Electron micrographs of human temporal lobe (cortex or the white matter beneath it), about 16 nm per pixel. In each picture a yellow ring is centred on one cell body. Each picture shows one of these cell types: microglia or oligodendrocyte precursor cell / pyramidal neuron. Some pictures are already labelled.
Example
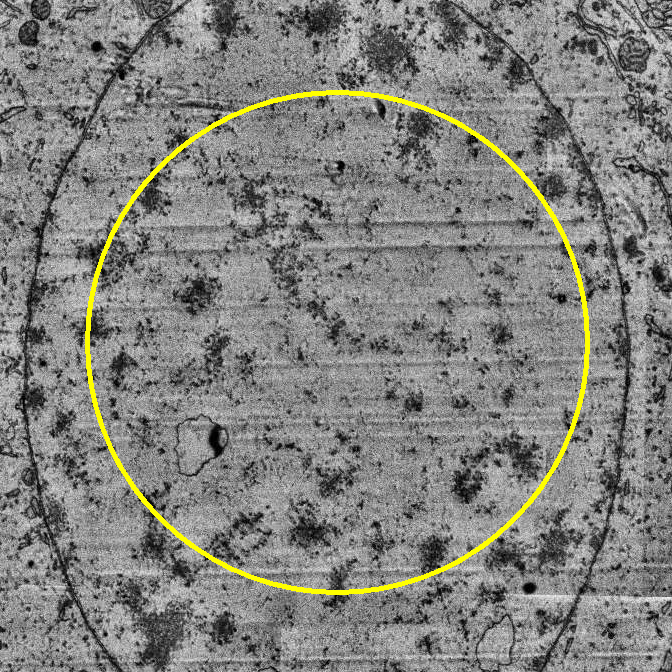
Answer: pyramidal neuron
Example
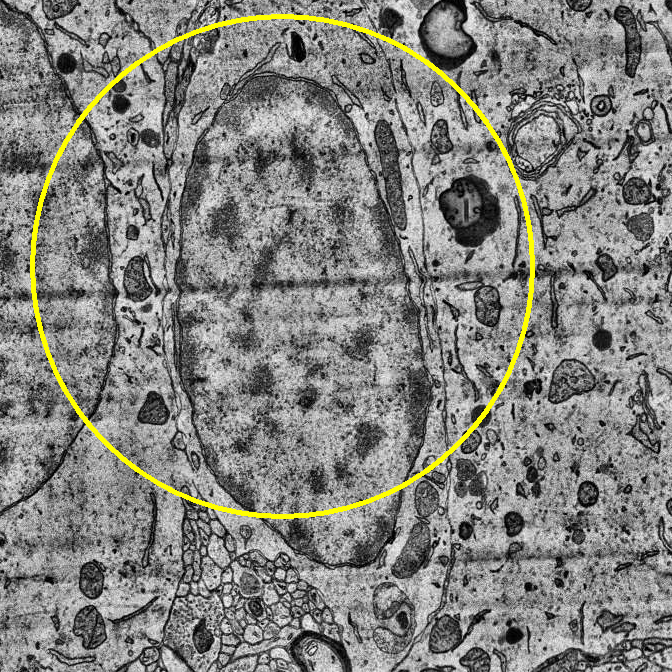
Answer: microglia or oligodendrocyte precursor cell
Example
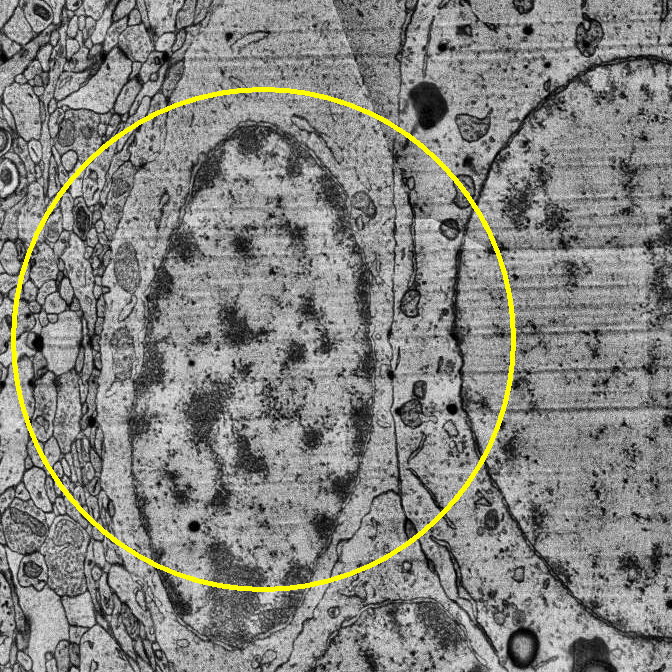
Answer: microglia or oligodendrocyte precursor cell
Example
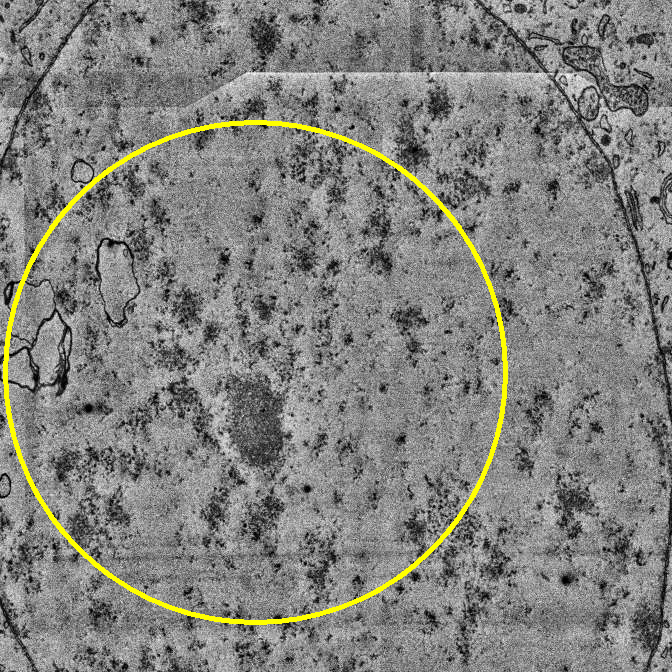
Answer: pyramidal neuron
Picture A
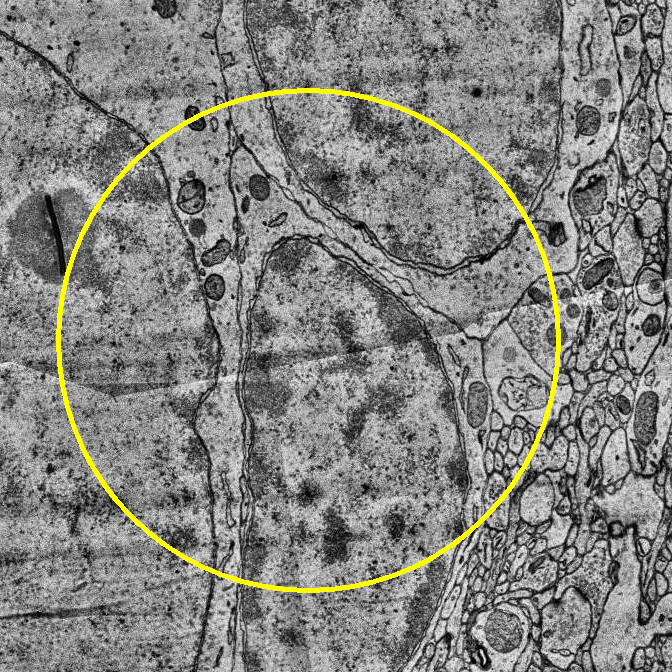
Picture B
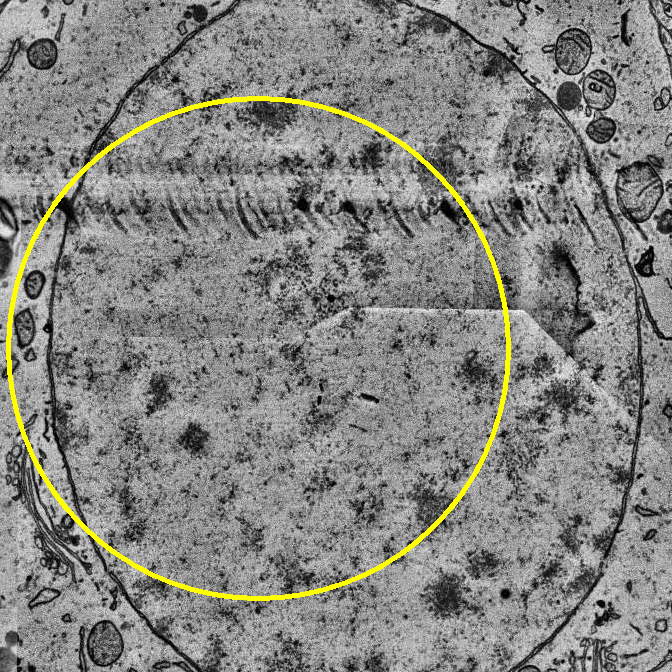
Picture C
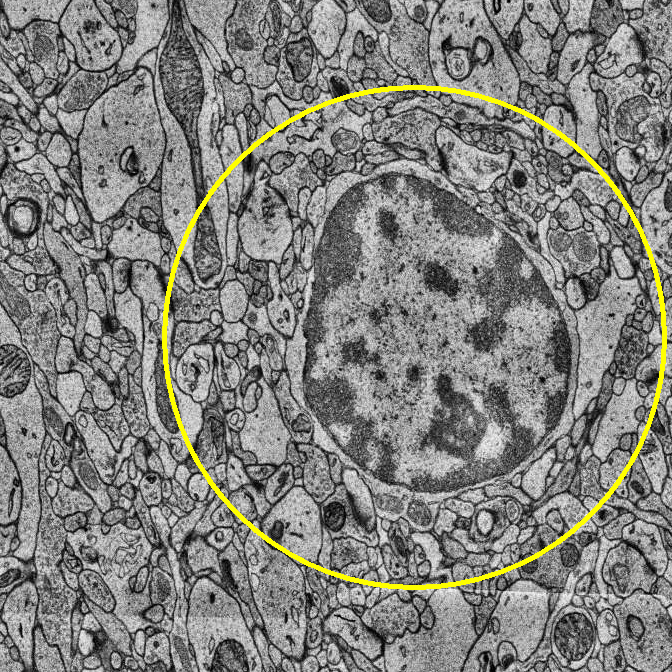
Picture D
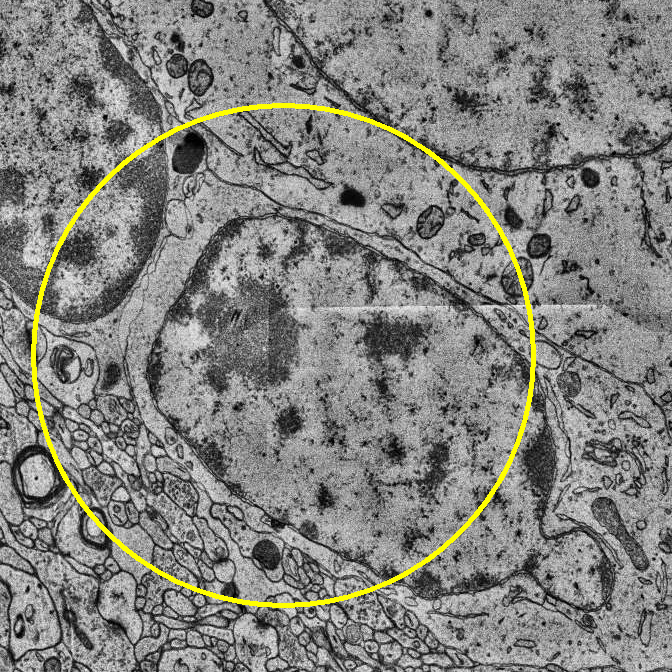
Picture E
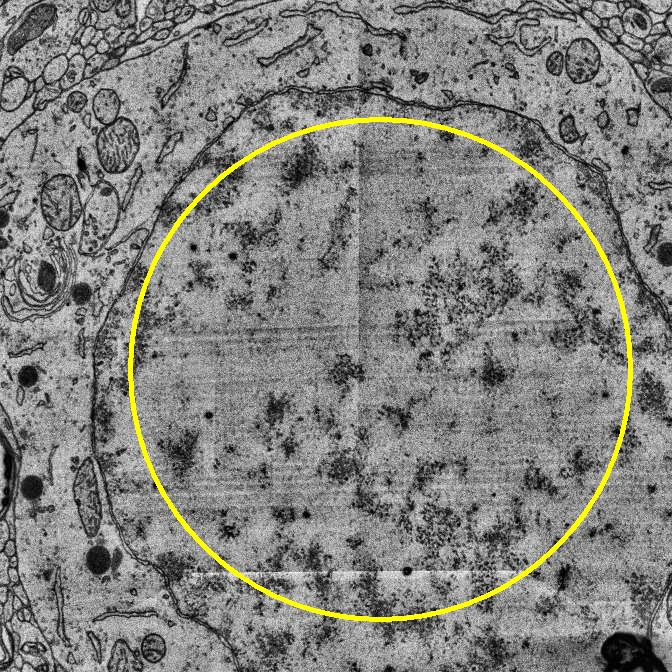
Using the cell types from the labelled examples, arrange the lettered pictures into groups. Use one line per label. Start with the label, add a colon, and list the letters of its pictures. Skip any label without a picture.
microglia or oligodendrocyte precursor cell: A, C, D
pyramidal neuron: B, E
